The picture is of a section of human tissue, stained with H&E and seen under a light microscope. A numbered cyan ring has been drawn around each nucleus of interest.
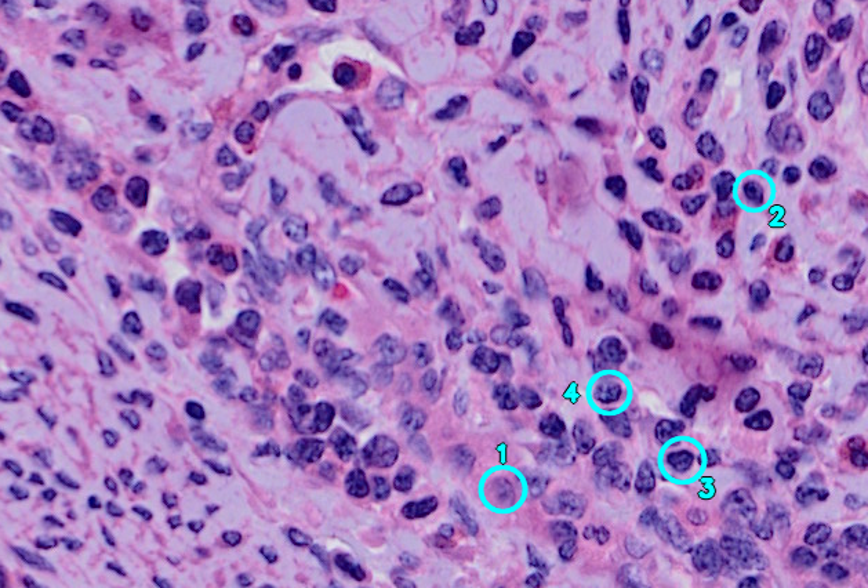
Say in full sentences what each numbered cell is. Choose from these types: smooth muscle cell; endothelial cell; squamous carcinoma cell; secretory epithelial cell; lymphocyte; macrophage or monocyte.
Cell 1 is an endothelial cell, cell 2 is a lymphocyte, cell 3 is a lymphocyte and cell 4 is a lymphocyte.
